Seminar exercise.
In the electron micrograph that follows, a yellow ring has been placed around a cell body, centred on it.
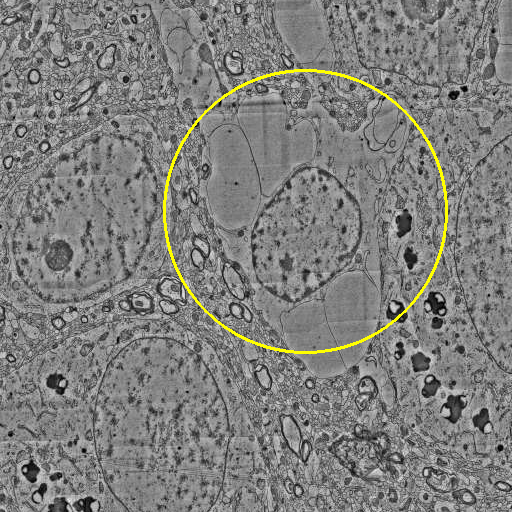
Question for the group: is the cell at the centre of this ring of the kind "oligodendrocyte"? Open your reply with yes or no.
No, the cell in the ring's centre is of another kind.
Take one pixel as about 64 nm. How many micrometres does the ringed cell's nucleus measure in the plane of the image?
The nucleus measures about 9 by 7 micrometres in this plane.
